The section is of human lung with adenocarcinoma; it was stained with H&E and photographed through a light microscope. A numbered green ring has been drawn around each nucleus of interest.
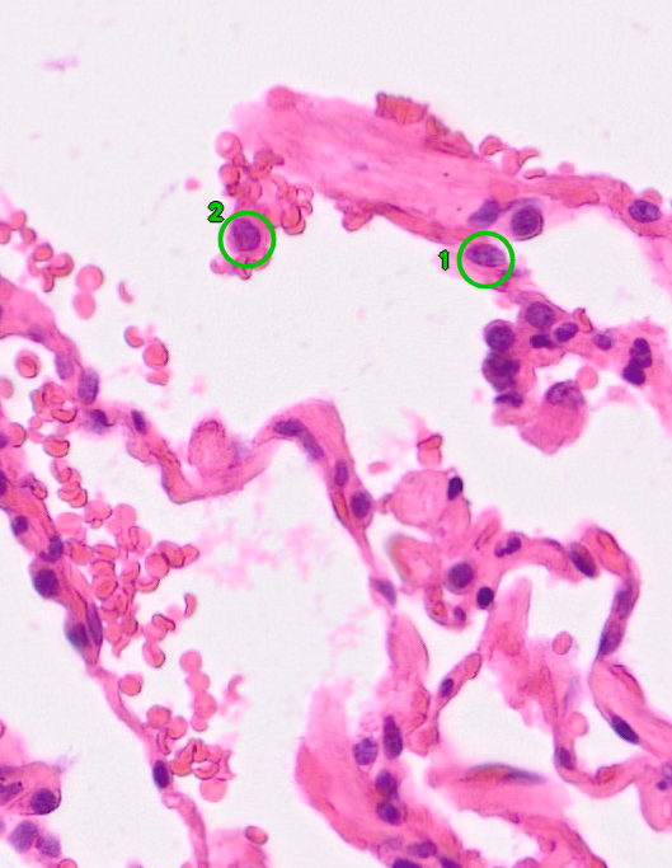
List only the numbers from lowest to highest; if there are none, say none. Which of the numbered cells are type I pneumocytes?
1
